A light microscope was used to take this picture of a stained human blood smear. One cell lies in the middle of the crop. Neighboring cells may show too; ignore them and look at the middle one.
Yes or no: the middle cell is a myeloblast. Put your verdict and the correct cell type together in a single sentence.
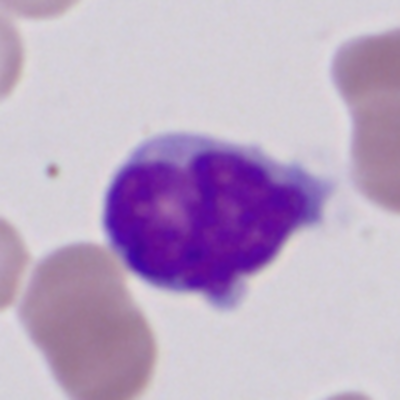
No, the cell centered in the crop is a monocyte, not a myeloblast.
